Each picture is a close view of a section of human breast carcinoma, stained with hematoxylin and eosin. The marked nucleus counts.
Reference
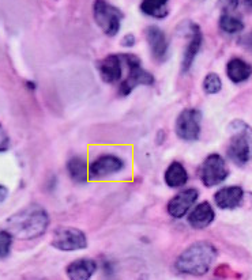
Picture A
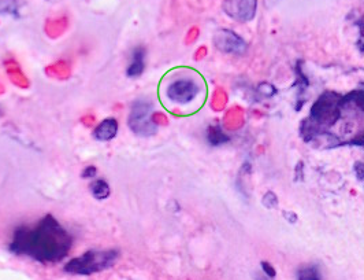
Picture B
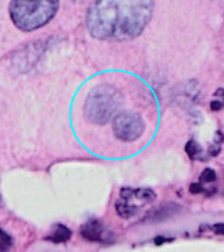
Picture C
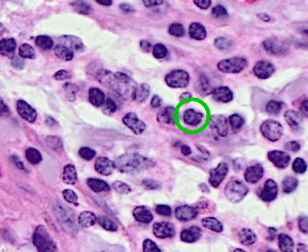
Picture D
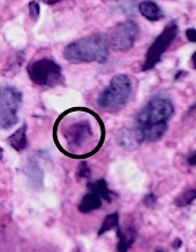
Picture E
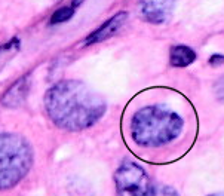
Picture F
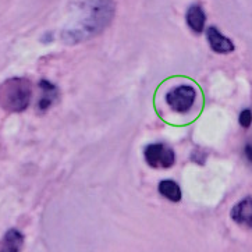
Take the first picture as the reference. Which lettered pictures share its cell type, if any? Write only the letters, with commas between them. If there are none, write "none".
A, C, F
